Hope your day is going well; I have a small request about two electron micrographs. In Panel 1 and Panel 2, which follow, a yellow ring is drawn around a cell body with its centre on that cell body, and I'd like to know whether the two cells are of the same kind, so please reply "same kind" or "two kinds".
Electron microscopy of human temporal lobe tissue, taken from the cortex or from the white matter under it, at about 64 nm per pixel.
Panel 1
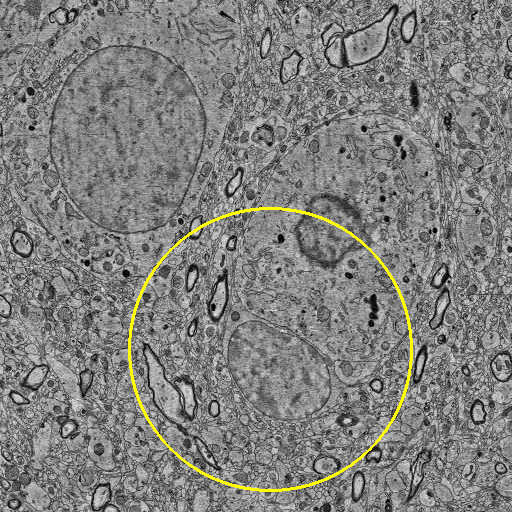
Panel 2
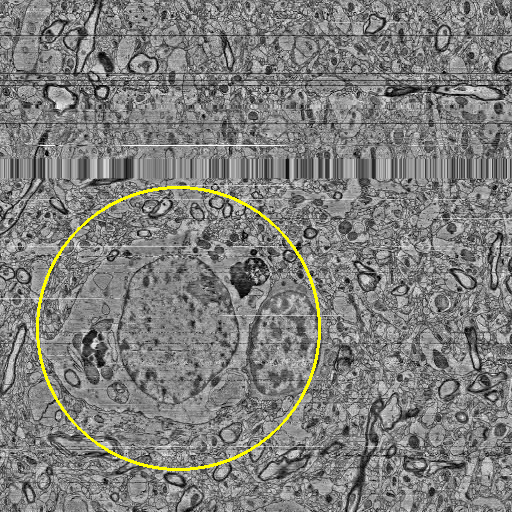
two kinds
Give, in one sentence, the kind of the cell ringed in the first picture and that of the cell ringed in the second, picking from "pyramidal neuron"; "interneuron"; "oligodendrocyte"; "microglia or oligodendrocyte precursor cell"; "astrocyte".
For the first picture it is an oligodendrocyte; for the second, an astrocyte.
